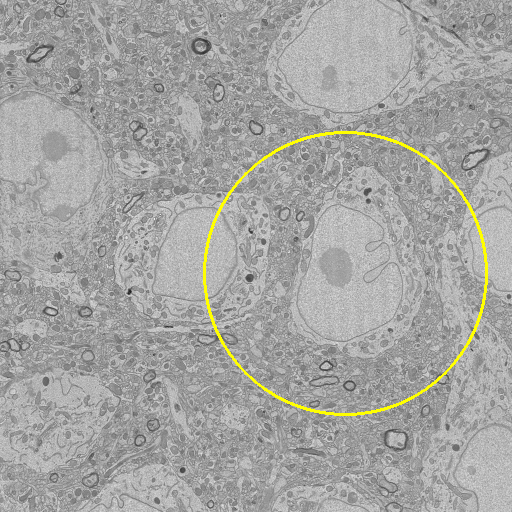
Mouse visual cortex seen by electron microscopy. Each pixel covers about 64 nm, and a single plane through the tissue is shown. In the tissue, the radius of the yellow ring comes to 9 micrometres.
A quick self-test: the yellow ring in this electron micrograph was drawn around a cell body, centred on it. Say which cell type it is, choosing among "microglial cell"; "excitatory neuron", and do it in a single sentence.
The yellow-ringed cell is an excitatory neuron.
